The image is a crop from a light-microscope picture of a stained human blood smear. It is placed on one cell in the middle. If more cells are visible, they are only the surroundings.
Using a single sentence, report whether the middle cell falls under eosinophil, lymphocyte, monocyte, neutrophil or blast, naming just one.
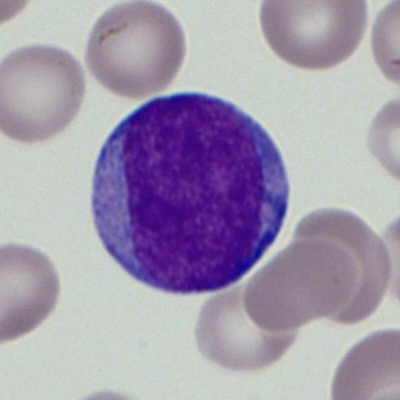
The single cell at the center of the crop is a blast.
